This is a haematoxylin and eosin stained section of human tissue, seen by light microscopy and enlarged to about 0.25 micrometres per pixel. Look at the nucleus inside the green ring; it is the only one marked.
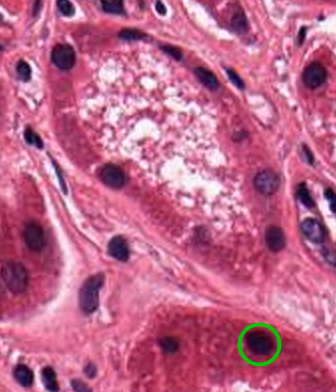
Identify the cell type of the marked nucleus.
proximal tubule cell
